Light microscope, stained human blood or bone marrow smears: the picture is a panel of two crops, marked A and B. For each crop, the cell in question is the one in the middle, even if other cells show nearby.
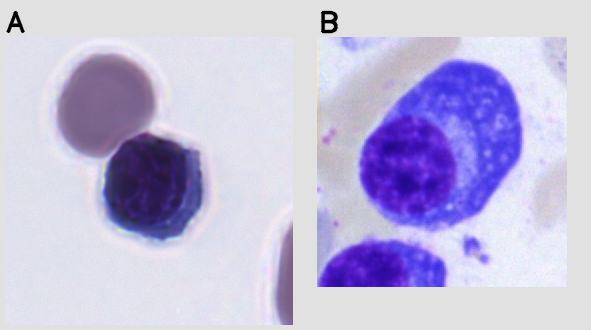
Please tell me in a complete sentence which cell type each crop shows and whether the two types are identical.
Yes, both crops show plasma cells, and that holds for each one.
